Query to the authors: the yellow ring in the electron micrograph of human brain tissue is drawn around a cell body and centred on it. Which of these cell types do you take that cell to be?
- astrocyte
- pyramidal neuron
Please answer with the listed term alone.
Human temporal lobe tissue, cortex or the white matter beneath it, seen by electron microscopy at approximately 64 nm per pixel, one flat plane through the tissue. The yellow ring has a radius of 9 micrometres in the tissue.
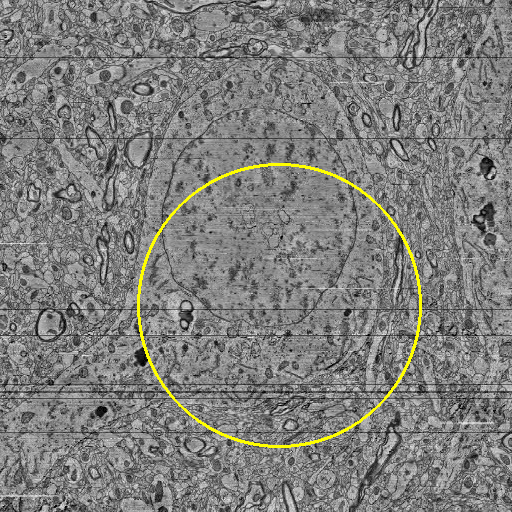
pyramidal neuron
